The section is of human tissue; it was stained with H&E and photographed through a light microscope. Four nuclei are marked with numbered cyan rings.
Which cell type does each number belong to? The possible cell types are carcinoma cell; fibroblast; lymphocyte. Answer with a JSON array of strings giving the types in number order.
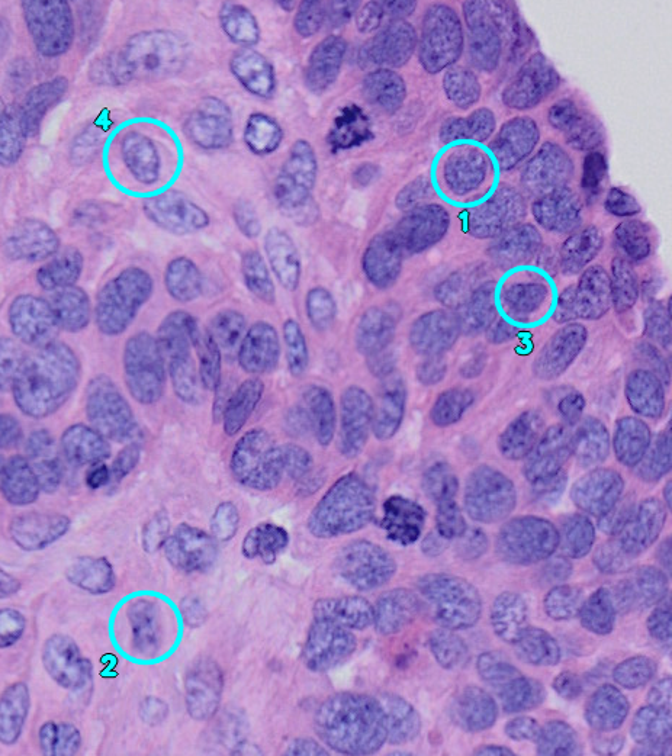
["carcinoma cell", "fibroblast", "carcinoma cell", "fibroblast"]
